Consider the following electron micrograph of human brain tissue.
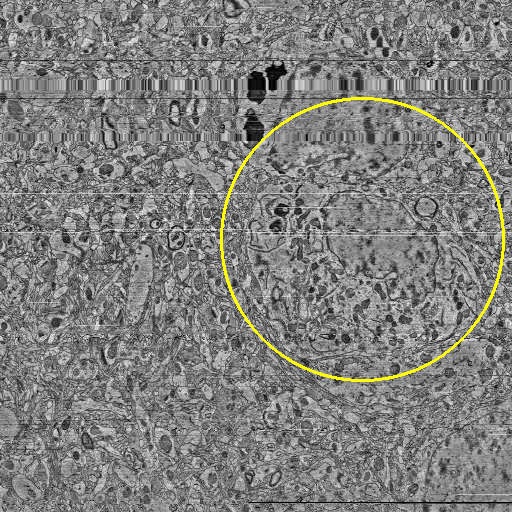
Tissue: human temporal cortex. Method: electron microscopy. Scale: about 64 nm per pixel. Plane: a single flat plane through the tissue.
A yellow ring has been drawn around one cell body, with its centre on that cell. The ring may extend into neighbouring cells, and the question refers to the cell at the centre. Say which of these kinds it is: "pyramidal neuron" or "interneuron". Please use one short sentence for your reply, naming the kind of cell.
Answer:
The centre of the ring falls on an interneuron.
